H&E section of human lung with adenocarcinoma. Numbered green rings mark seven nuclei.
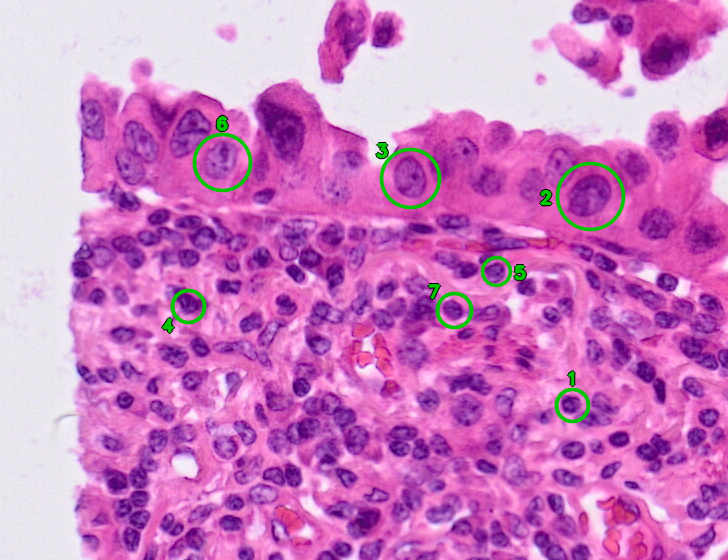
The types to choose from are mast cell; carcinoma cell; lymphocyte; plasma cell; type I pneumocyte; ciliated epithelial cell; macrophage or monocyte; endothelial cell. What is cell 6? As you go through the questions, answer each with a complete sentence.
The cell tagged with 6 in this tissue section is a carcinoma cell.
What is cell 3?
Regarding cell 3, this one is a carcinoma cell.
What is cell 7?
The cell pointed out as number 7 is a lymphocyte.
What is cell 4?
The label 4 in this section denotes a plasma cell.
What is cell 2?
Cell number 2 in this section is a carcinoma cell.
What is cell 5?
Nucleus 5 in this section belongs to a lymphocyte.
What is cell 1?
Heads up, the cell numbered 1 is a lymphocyte.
